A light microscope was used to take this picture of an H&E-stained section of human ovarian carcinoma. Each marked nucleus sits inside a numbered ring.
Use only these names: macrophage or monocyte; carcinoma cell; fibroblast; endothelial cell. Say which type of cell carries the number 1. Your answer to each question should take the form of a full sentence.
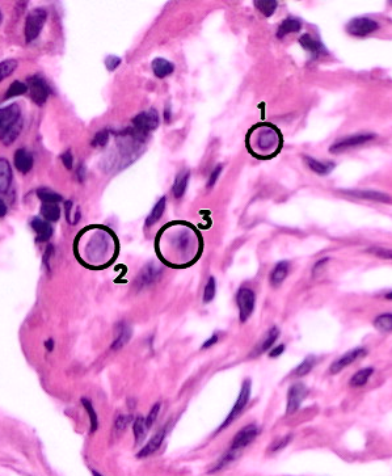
Within this field of view, the cell labelled 1 is a fibroblast.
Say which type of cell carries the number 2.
The cell that is numbered 2 is a macrophage or monocyte.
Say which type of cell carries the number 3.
The cell that is numbered 3 is a fibroblast.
